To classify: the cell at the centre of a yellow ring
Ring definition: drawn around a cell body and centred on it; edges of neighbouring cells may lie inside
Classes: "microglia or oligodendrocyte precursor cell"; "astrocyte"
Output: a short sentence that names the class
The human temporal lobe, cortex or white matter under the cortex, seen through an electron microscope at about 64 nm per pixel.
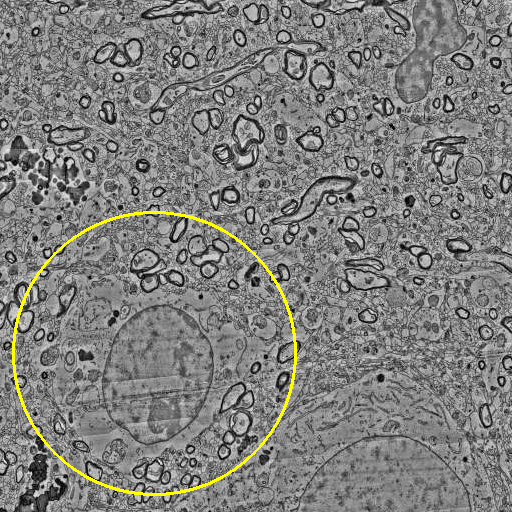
The ringed cell is an astrocyte.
